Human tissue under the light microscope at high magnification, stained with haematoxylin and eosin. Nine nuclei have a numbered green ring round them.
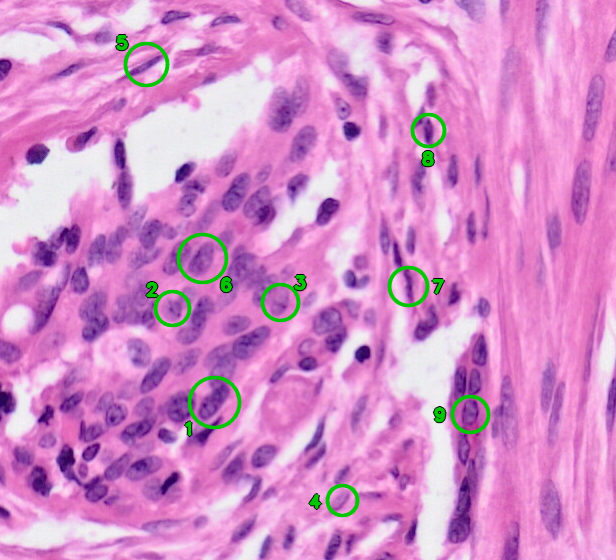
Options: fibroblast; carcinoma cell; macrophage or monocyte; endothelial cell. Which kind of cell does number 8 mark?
fibroblast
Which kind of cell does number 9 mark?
endothelial cell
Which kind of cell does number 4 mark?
fibroblast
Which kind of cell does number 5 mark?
fibroblast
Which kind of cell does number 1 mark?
carcinoma cell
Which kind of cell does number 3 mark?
carcinoma cell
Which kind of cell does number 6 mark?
carcinoma cell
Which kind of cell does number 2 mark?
macrophage or monocyte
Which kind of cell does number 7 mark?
fibroblast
